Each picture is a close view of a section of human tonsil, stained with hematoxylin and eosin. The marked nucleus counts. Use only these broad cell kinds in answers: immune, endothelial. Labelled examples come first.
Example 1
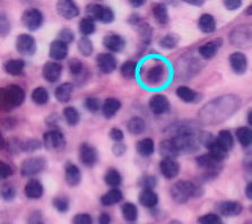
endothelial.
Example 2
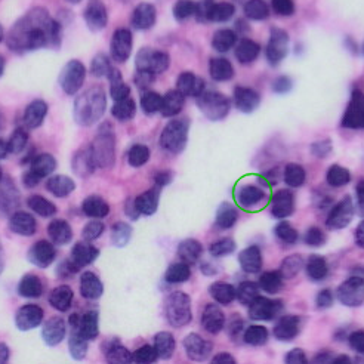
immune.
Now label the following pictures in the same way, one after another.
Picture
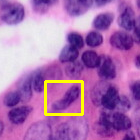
endothelial.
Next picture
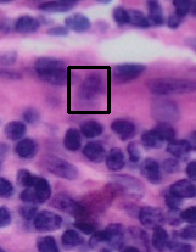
endothelial.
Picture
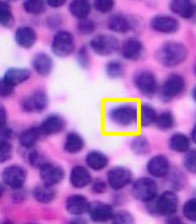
immune.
